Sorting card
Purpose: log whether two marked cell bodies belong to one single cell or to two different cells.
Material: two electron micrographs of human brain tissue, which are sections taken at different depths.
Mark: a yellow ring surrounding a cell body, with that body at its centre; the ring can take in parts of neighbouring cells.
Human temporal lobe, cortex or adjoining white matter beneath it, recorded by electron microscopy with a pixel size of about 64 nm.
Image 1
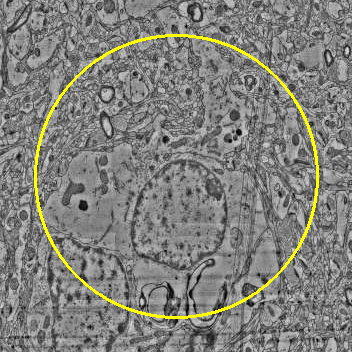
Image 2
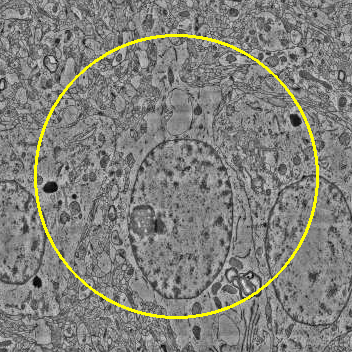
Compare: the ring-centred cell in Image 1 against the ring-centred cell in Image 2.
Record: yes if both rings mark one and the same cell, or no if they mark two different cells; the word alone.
no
